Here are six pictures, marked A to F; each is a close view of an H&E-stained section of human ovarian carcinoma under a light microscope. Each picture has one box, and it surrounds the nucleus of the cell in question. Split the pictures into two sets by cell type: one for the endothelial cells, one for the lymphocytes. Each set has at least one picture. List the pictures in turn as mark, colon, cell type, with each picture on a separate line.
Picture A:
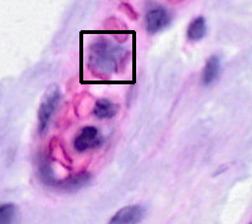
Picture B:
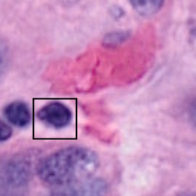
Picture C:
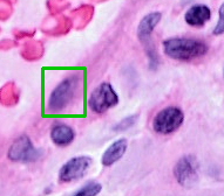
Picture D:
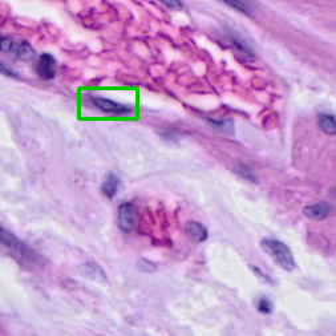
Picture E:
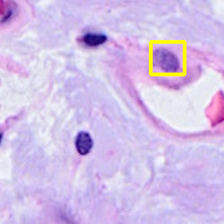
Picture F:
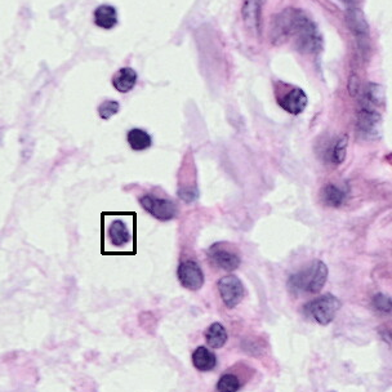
A: endothelial cell
B: lymphocyte
C: endothelial cell
D: endothelial cell
E: endothelial cell
F: lymphocyte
